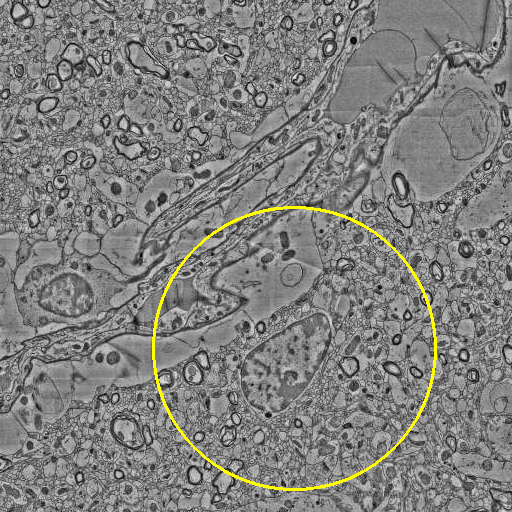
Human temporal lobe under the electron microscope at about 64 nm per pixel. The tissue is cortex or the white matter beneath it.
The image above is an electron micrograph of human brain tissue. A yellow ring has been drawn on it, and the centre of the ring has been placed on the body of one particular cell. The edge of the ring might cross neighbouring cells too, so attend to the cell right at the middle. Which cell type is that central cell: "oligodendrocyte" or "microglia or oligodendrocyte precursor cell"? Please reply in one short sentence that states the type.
The central cell in the ring is a microglial cell or oligodendrocyte precursor cell.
